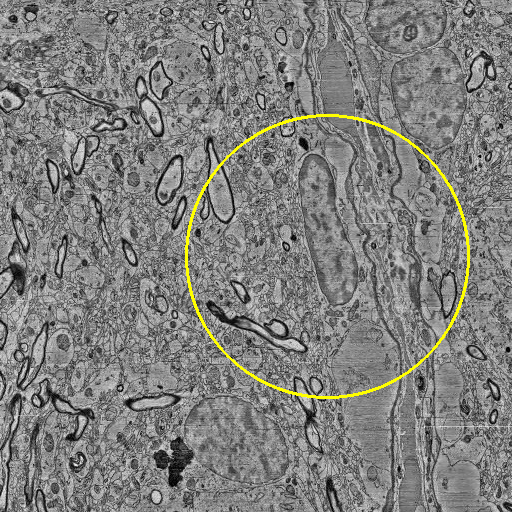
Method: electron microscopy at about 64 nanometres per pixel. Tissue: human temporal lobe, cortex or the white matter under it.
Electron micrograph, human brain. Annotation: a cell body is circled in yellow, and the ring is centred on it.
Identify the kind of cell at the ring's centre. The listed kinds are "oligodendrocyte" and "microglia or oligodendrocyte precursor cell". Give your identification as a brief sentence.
The circled cell body is that of a microglial cell or oligodendrocyte precursor cell.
